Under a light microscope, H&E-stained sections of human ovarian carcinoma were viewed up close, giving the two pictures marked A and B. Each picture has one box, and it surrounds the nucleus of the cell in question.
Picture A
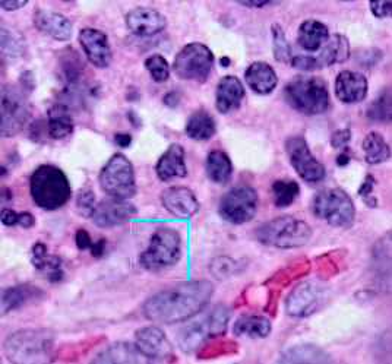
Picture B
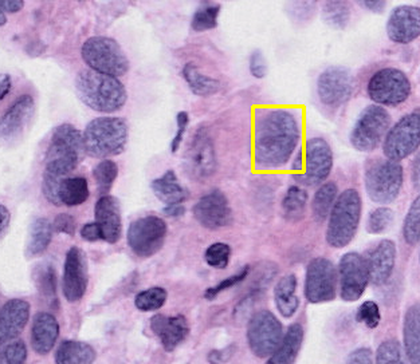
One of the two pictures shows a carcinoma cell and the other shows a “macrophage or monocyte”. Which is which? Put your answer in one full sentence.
Picture A shows a “macrophage or monocyte” and picture B shows a carcinoma cell.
